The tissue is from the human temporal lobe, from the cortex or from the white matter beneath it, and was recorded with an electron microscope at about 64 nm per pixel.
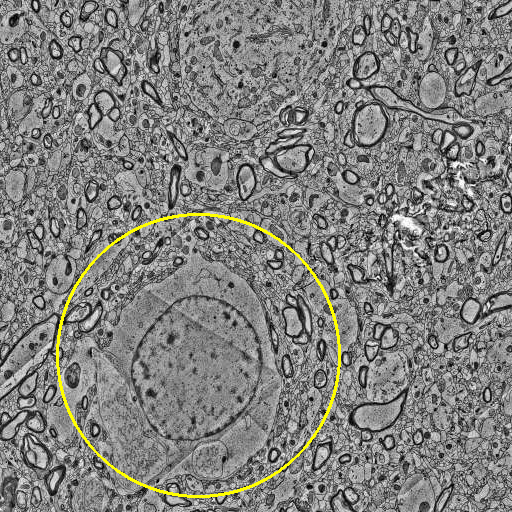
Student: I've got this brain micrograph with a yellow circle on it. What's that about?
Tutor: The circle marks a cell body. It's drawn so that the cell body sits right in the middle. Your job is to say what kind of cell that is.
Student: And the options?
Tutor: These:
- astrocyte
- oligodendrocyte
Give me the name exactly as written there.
astrocyte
